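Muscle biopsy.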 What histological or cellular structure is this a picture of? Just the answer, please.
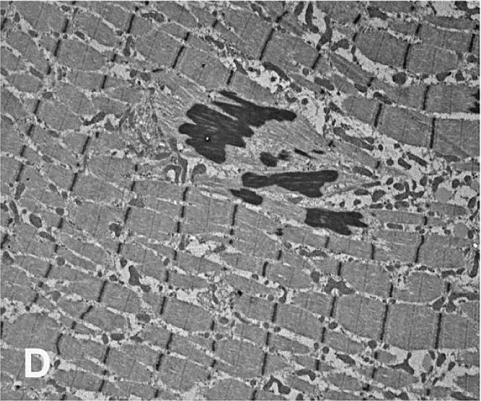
rod-like structure with high electron density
